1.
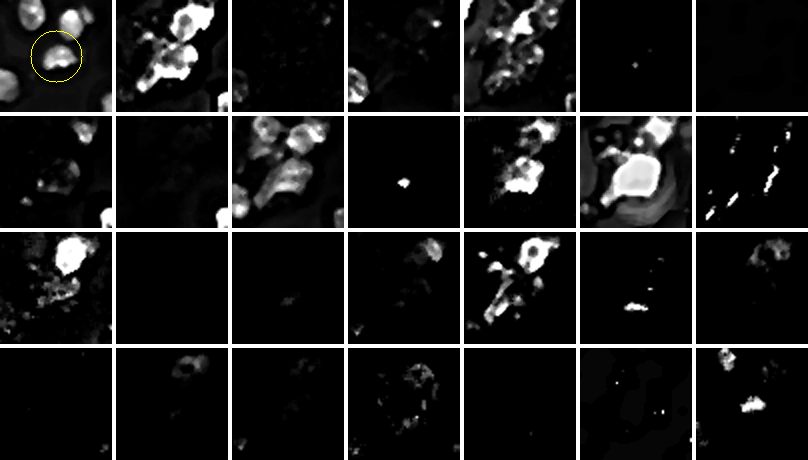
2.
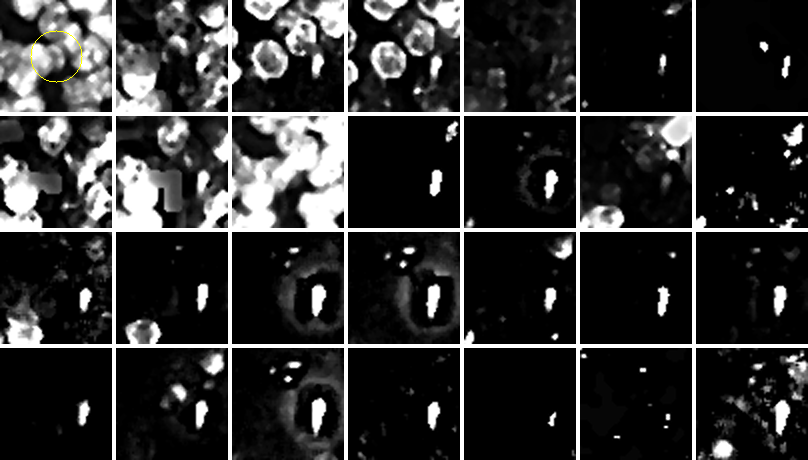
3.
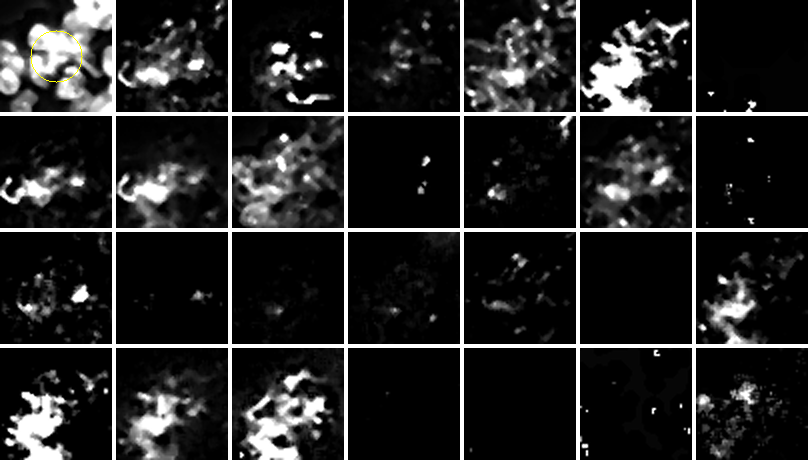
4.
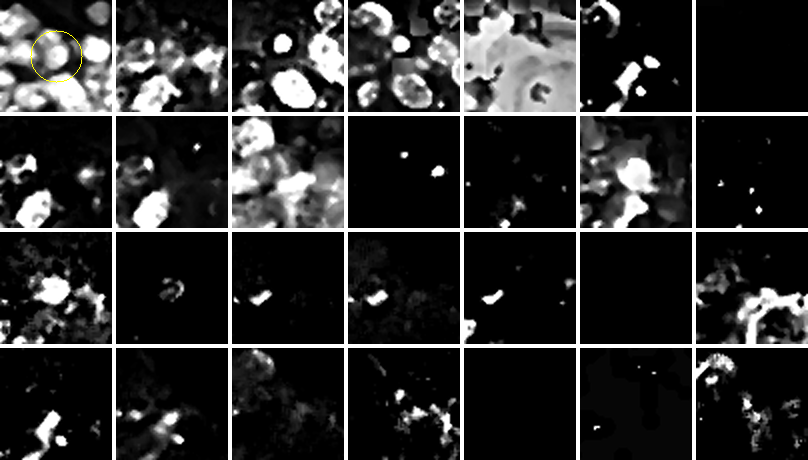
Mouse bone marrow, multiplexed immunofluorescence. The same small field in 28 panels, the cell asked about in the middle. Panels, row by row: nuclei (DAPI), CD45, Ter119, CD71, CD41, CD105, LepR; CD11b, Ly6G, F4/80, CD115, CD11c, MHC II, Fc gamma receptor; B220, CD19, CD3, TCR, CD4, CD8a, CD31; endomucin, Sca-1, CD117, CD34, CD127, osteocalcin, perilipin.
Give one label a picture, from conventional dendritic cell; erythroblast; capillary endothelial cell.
(1) conventional dendritic cell
(2) erythroblast
(3) erythroblast
(4) capillary endothelial cell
